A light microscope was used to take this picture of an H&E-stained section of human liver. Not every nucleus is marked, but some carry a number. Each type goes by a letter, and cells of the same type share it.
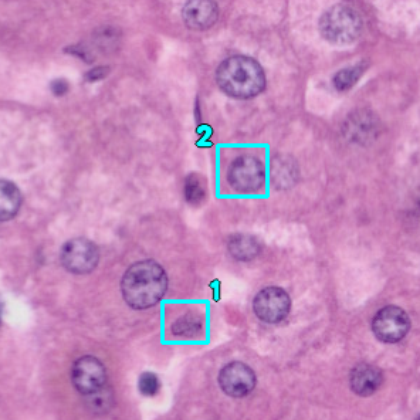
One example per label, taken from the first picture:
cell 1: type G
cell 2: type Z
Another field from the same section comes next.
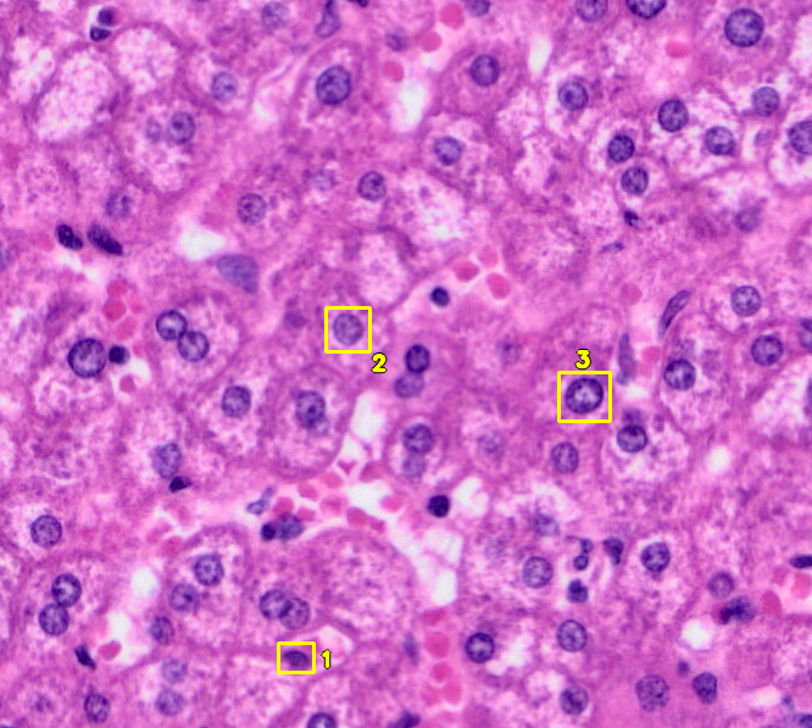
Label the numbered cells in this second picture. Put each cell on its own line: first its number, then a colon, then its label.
1: type G
2: type Z
3: type Z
